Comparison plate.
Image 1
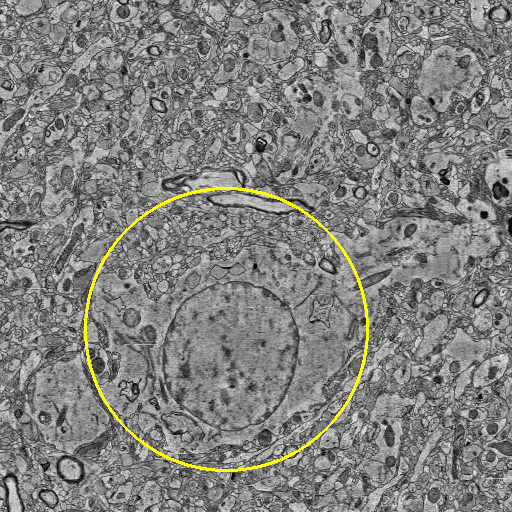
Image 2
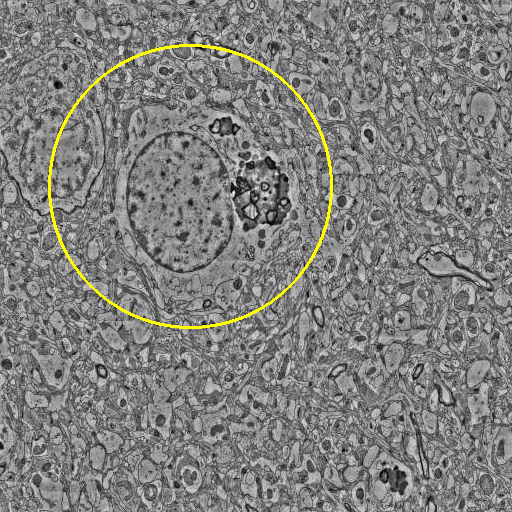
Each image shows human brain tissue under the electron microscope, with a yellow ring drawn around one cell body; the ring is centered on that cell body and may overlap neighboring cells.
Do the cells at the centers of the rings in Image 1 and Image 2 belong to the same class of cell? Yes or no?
yes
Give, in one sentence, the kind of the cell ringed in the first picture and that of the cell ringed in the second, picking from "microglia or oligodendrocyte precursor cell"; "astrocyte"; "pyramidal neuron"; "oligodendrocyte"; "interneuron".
Both pictures show an astrocyte at the centre of the ring.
